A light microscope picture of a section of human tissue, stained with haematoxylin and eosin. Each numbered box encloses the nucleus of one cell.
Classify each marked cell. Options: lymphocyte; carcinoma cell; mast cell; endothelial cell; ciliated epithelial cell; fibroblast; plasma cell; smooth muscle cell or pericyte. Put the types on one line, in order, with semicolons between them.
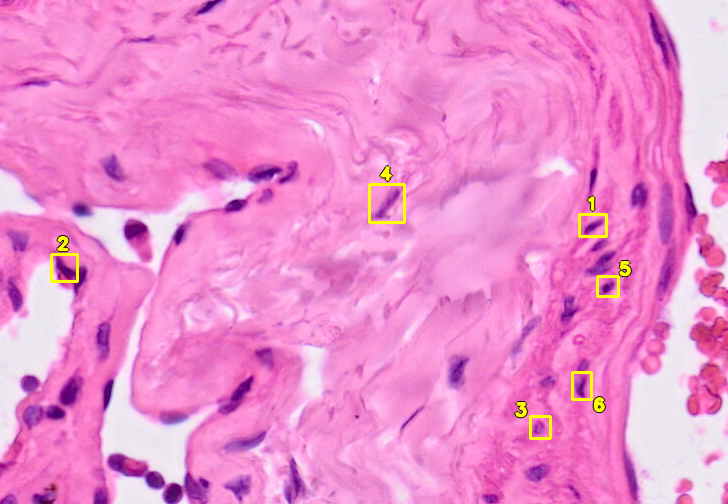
smooth muscle cell or pericyte; endothelial cell; smooth muscle cell or pericyte; fibroblast; smooth muscle cell or pericyte; smooth muscle cell or pericyte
